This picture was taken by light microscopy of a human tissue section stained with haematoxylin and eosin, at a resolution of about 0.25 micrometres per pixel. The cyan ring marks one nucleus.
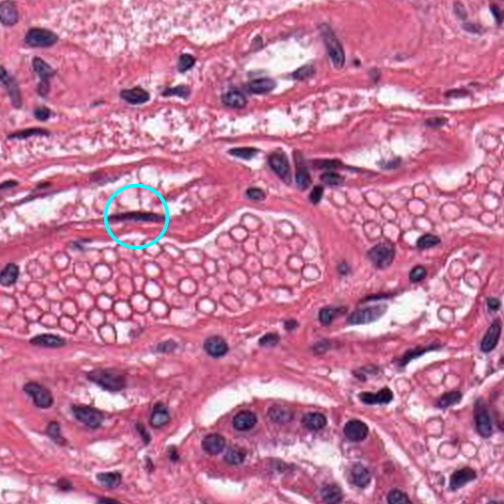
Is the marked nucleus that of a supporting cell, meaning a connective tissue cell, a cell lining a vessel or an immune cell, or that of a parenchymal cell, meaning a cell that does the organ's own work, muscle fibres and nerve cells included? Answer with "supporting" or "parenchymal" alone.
supporting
